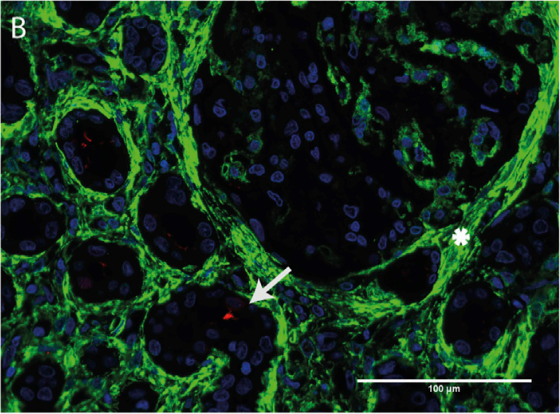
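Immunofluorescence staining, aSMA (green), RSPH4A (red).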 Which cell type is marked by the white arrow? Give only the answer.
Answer: multiciliated cell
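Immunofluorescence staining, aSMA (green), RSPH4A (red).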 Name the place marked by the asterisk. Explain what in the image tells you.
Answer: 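The asterisk lies on a band of green fibrous strands. The green bands run between round tubular profiles, not inside them.
Interstitial space.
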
